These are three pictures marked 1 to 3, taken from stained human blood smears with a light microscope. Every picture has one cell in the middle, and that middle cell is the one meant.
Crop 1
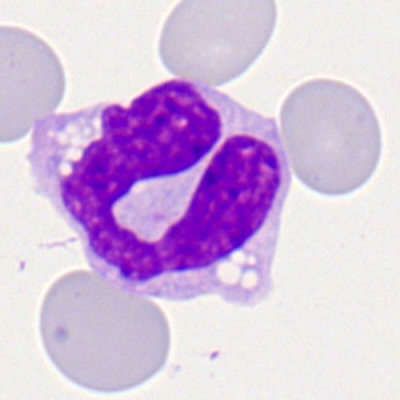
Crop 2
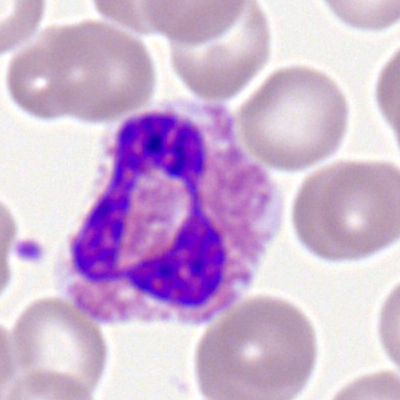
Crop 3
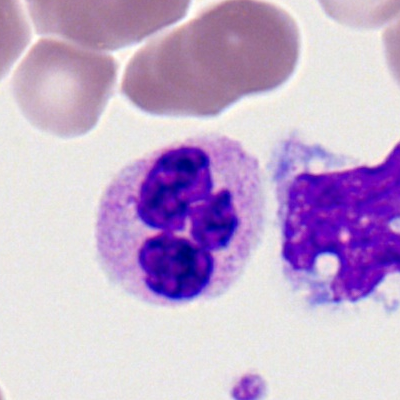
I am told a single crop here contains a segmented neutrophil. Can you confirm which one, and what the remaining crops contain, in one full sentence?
Crop 3 is recognised as a segmented neutrophil, whereas crop 1 is a monocyte and crop 2 is an eosinophil.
